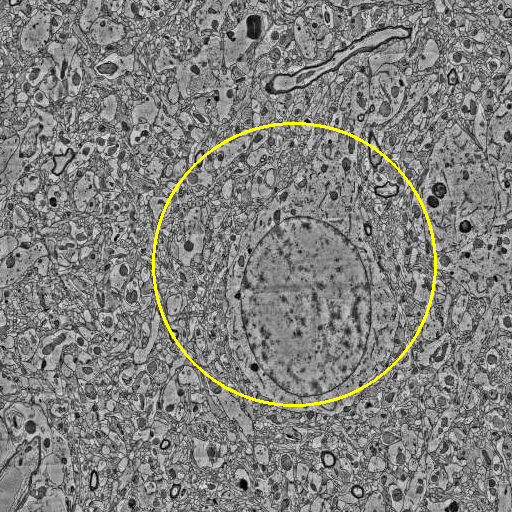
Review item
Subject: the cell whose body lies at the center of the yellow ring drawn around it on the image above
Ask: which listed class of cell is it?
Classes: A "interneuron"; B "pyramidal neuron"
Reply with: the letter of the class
B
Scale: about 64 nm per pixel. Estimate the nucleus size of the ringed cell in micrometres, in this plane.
About 12 micrometres by about 8 micrometres in this plane.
